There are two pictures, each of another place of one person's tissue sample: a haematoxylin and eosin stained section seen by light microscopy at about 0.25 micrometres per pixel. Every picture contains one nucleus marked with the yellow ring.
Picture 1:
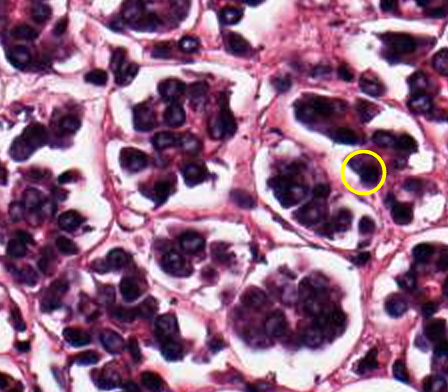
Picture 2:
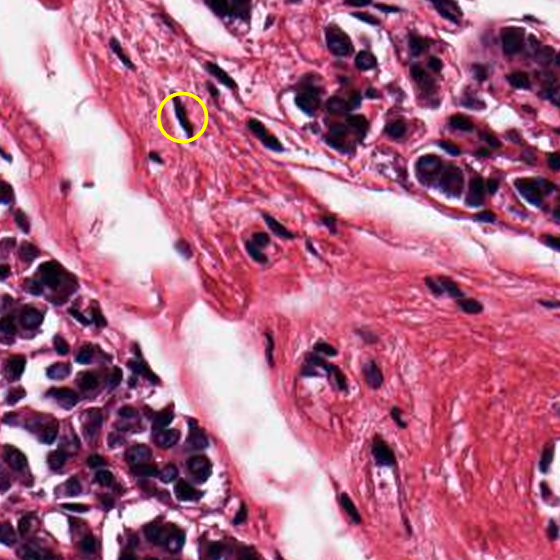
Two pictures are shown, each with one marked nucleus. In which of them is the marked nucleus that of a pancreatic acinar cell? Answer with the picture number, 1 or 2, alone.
1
